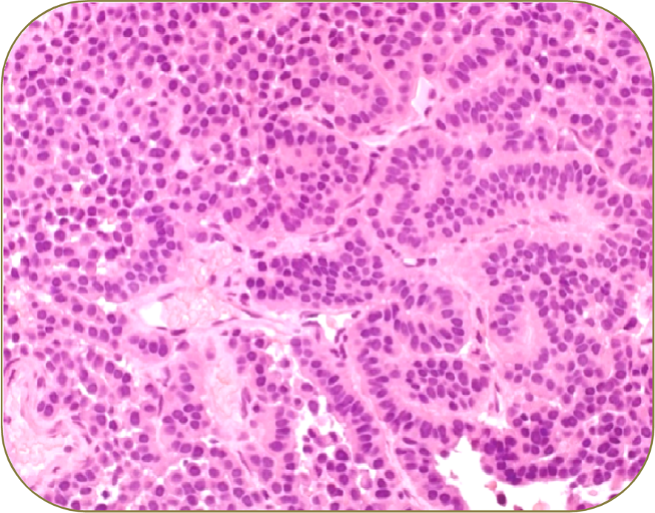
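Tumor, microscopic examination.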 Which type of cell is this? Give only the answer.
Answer: uniform cuboidal cells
